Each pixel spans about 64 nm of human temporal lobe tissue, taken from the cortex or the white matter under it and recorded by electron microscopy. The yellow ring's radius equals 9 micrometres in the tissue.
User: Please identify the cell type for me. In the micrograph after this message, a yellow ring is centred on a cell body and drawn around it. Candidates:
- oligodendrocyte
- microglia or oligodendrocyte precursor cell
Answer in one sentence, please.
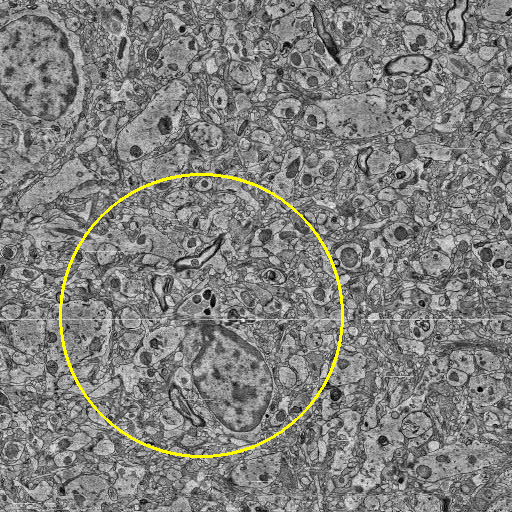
The ring is drawn around the cell body of a microglial cell or oligodendrocyte precursor cell.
